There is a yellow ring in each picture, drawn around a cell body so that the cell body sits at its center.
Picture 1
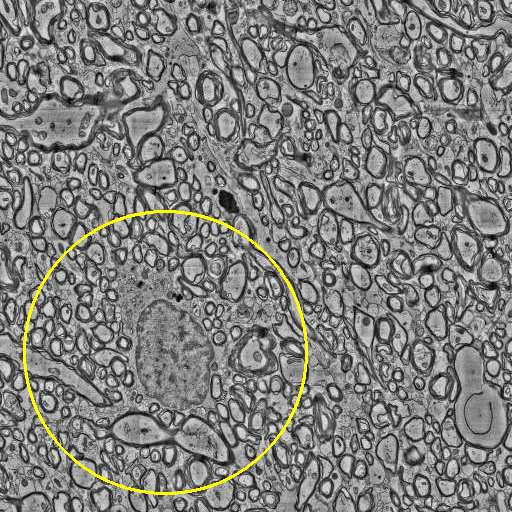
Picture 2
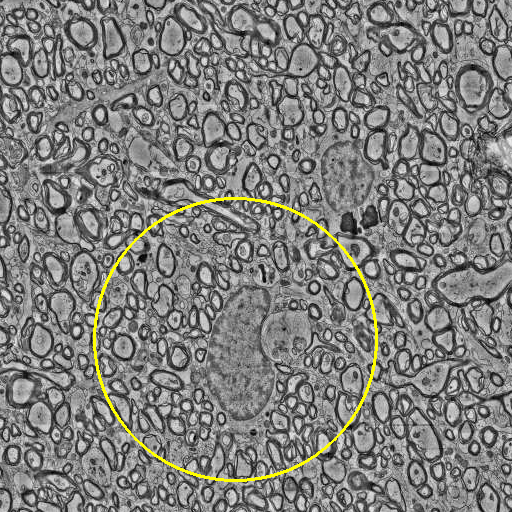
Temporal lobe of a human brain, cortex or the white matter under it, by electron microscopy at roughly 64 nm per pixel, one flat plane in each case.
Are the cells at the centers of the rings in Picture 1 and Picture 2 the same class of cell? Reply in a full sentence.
Yes, the two cells are the same class of cell.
